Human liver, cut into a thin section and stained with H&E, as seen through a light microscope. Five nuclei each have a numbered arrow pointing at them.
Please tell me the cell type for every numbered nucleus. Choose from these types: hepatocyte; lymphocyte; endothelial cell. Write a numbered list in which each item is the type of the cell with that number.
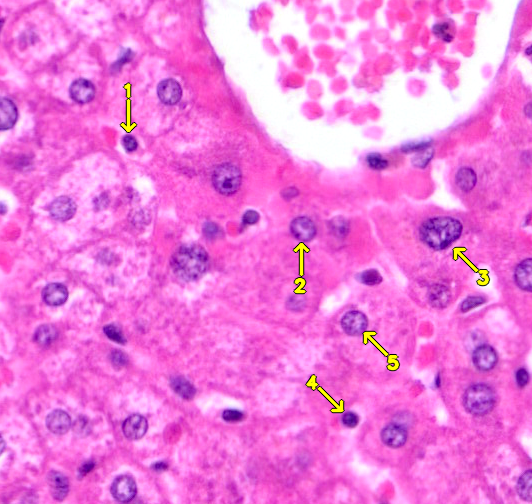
1. lymphocyte
2. hepatocyte
3. hepatocyte
4. lymphocyte
5. hepatocyte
